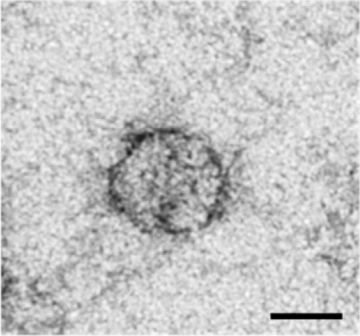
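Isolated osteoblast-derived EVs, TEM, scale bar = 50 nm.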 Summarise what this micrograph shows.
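The interior is paler and mottled, with a faint granular texture. A thin, diffuse halo surrounds the rim in places. Irregular darker wisps of background material lie at the corners of the field, apart from the vesicle. No other particles of similar size are seen nearby.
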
